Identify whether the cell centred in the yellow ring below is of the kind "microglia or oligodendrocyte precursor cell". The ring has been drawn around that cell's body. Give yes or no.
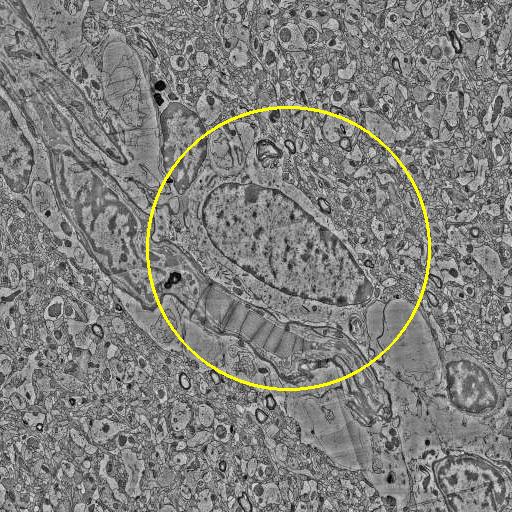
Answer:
yes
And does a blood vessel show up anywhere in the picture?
Yes, one appears.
